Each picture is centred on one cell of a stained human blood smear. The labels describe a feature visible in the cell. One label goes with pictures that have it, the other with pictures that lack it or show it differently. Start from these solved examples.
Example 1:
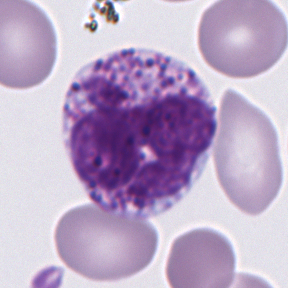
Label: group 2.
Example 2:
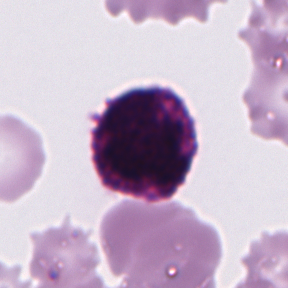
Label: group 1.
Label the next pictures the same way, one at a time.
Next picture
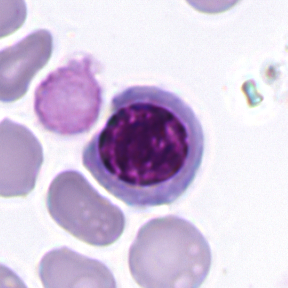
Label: group 2.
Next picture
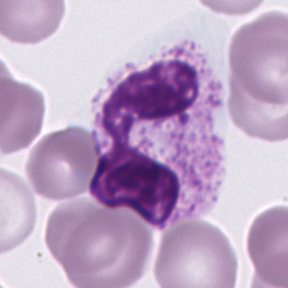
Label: group 1.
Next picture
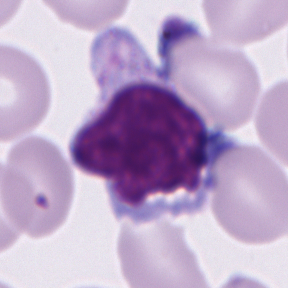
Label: group 1.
